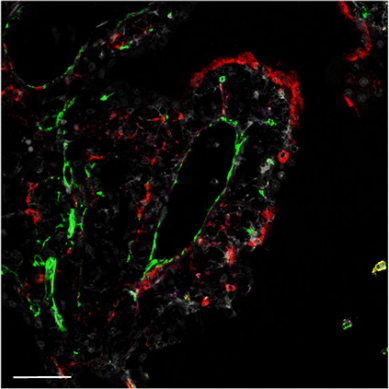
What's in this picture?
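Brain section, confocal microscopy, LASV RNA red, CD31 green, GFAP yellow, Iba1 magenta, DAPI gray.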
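This is a cross-section through the choroid plexus, with a blood vessel at its center. The open vessel lumen is lined by thin, flat endothelial cells outlined in green, and many green threads of small vessels run through the surrounding connective tissue, which is packed with gray nuclei. At the outer border, a layer of rounded ependymal cells faces the empty ventricle space, and many of these surface cells have red cytoplasm.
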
